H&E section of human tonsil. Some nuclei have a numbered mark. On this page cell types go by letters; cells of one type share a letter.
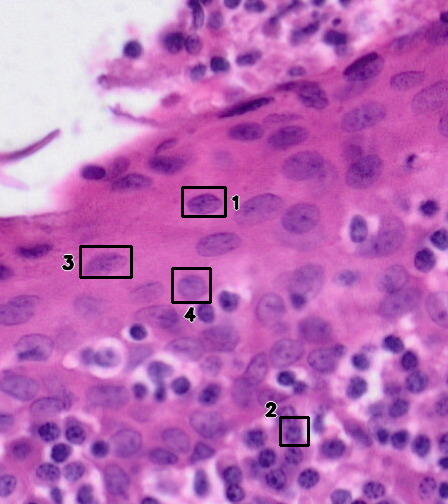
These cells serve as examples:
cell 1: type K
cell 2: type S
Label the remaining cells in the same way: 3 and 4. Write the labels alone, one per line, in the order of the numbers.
type K
type K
